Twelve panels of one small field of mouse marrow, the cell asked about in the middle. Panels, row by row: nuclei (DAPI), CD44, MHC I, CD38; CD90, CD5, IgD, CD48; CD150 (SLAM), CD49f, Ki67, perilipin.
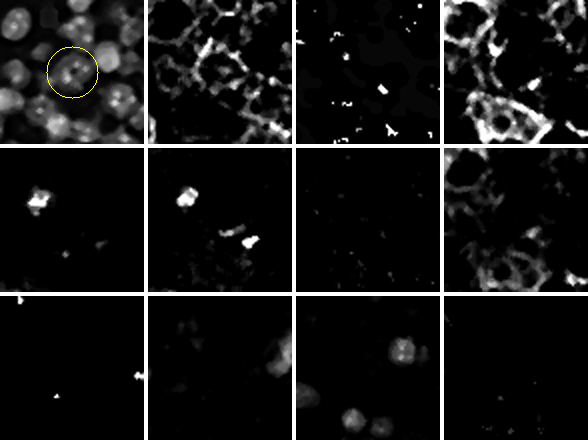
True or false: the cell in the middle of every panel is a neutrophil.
True.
